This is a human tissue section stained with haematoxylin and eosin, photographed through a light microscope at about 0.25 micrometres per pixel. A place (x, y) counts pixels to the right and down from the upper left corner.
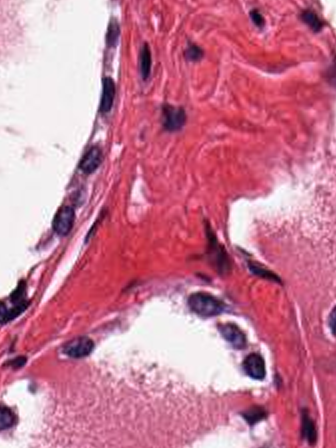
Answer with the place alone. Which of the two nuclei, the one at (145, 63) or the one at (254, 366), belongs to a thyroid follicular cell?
(254, 366)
